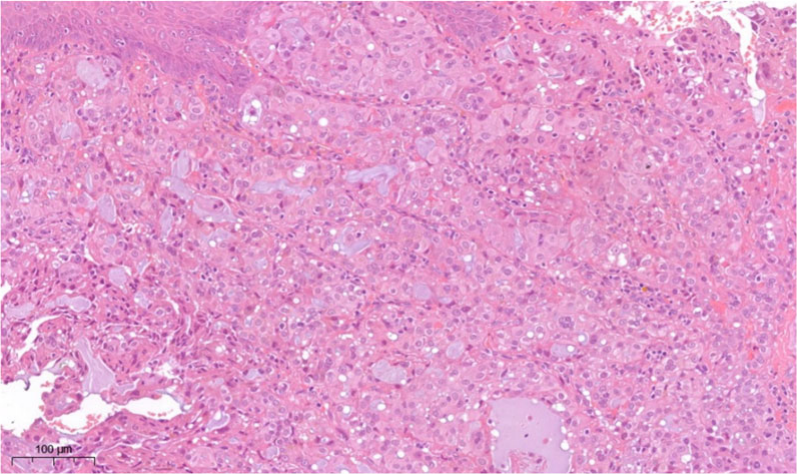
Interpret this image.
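Sheets and nests of tumor cells fill most of the field, packed into solid areas that are divided by thin strands of pink fibrous tissue carrying slender spindle-shaped nuclei. The tumor cells are polygonal, with round to oval nuclei that are fairly uniform, each with a small nucleolus, and ample pink, eosinophilic cytoplasm; many cells show clear vacuoles or halos. The picture is of a solid-patterned tumor whose cell groups are separated by delicate fibrous septa.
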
